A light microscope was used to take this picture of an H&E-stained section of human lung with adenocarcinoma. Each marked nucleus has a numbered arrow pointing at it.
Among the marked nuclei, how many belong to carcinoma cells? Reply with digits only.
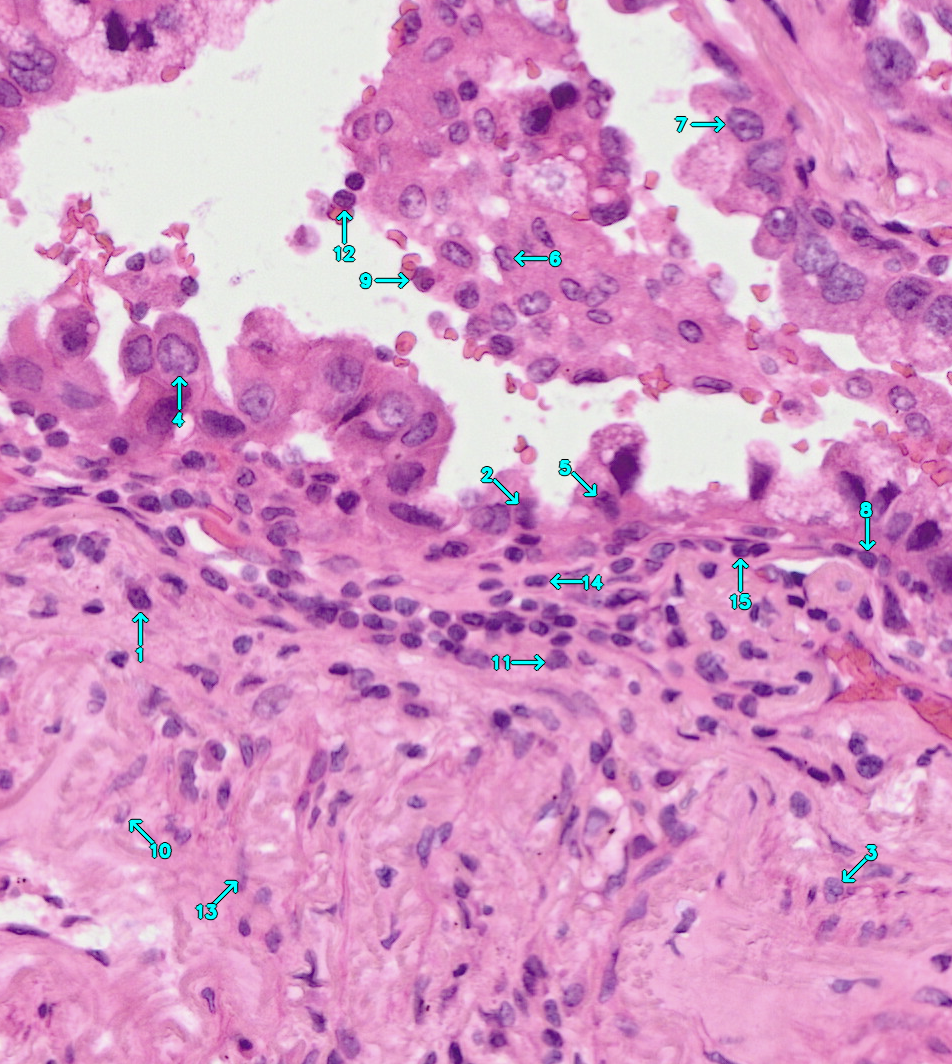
4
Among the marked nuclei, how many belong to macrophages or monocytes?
2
